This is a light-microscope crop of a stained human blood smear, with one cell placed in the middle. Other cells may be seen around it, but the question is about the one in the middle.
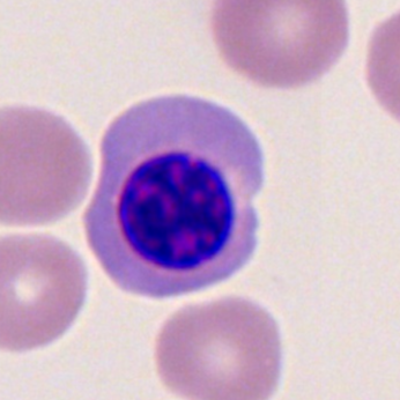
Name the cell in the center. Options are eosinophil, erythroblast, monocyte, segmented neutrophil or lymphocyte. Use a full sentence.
The central cell, amid any neighbouring cells, is an erythroblast.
